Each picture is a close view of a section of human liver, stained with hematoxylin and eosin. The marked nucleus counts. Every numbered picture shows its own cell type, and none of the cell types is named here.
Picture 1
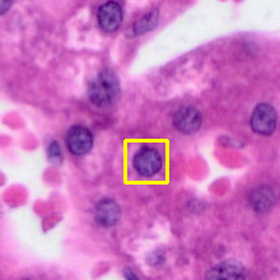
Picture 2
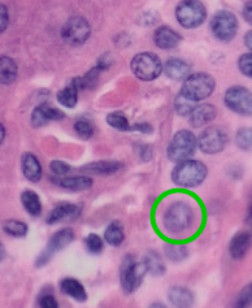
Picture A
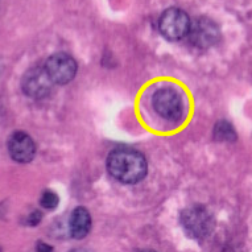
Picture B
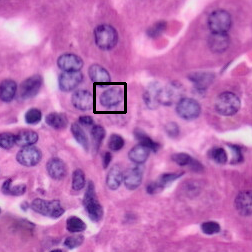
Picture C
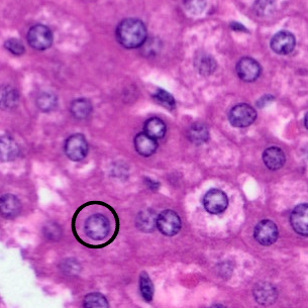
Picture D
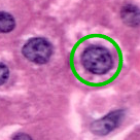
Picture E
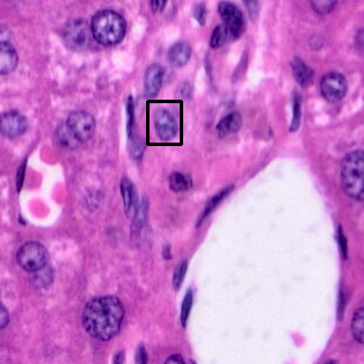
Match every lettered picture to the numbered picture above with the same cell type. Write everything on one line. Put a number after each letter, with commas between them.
A 1, B 2, C 1, D 1, E 2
